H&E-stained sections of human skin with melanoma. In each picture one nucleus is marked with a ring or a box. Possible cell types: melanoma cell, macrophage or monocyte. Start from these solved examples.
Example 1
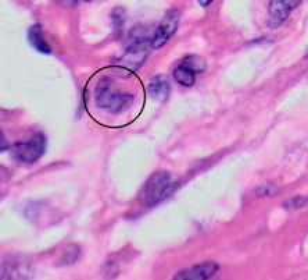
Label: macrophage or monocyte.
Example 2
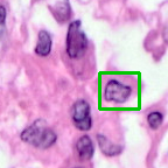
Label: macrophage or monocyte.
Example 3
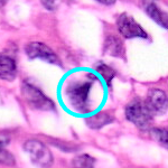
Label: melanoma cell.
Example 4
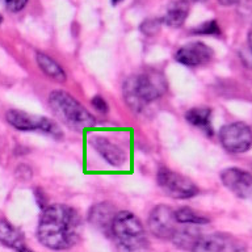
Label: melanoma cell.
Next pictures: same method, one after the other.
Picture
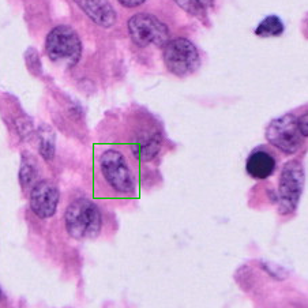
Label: melanoma cell.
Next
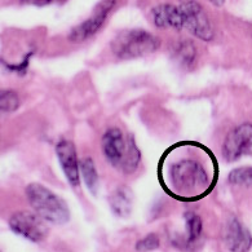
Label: melanoma cell.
